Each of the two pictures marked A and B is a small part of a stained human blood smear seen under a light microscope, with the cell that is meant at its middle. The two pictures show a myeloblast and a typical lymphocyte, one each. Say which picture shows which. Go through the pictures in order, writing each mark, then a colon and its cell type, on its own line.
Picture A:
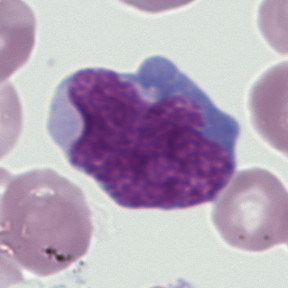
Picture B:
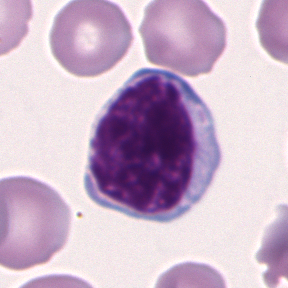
A: myeloblast
B: typical lymphocyte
